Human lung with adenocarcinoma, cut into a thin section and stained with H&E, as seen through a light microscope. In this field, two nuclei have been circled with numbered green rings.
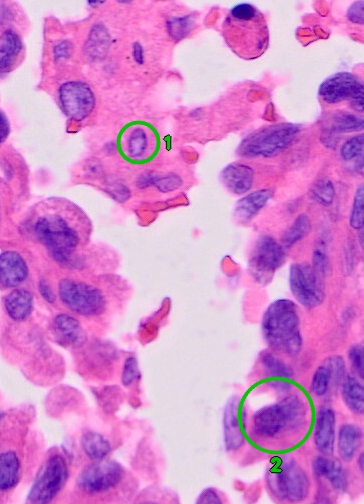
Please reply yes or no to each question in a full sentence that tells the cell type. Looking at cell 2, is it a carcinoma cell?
Yes, correct, the cell with the number 2 is a carcinoma cell.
